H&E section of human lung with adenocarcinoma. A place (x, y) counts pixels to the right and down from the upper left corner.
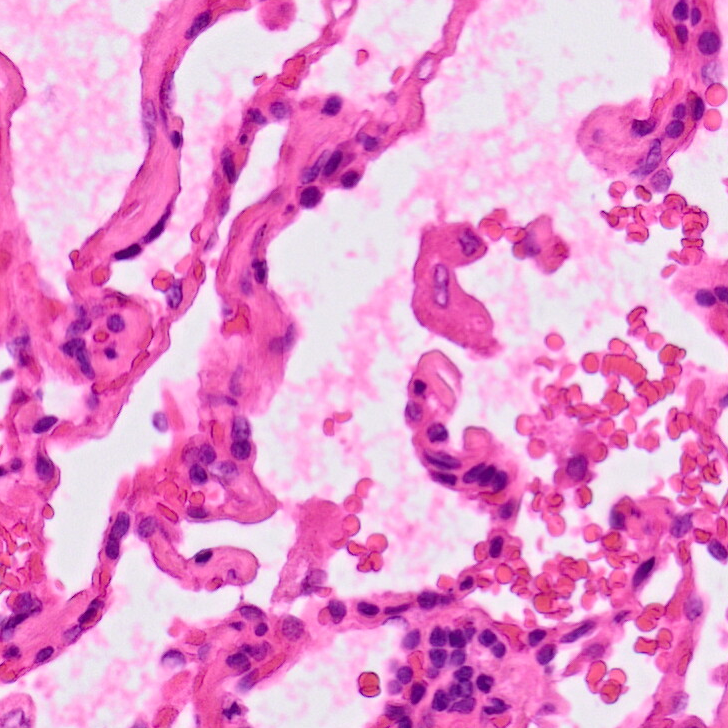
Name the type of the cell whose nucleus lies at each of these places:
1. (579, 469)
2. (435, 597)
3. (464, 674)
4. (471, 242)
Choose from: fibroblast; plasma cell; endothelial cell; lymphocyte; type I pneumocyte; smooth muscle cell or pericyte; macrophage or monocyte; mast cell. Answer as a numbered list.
1. macrophage or monocyte
2. type I pneumocyte
3. lymphocyte
4. macrophage or monocyte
